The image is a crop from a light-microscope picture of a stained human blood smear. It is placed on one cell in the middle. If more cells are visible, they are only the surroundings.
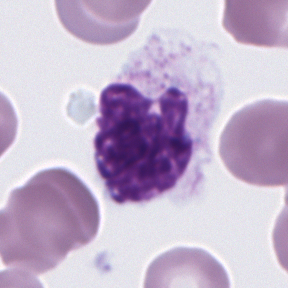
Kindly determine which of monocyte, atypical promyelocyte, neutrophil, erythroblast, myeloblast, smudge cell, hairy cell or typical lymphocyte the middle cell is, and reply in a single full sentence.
The central cell in this smear crop is a neutrophil.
